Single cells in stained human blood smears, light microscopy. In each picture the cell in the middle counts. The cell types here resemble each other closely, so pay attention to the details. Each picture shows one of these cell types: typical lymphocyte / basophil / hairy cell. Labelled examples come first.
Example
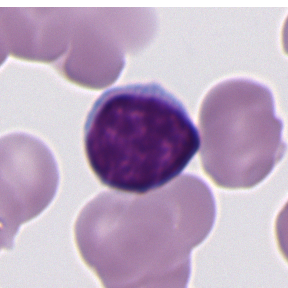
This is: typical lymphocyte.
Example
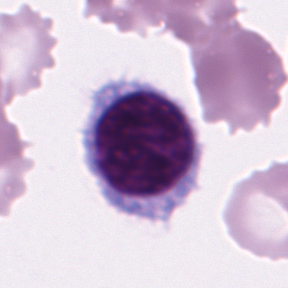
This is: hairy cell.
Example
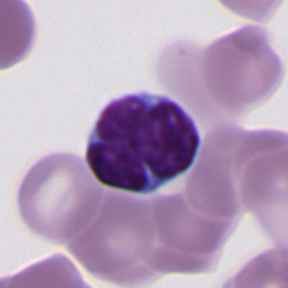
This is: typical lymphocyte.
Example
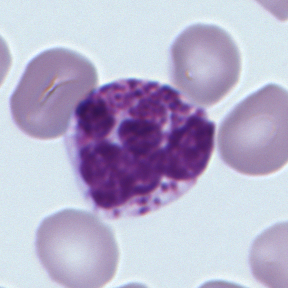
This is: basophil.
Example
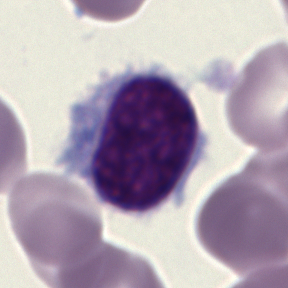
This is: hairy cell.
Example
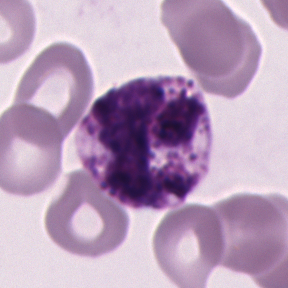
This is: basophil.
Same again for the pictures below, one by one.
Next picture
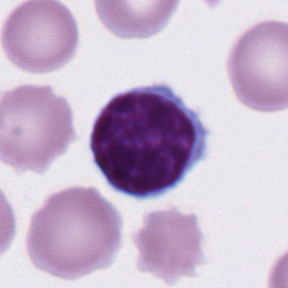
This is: typical lymphocyte.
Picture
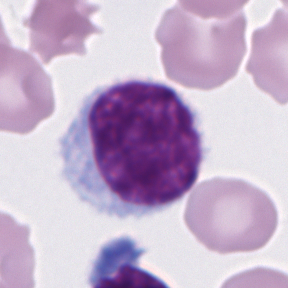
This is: hairy cell.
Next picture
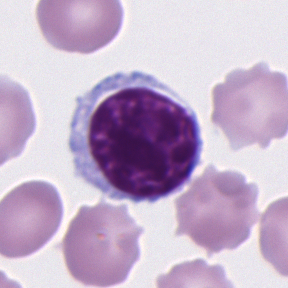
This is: typical lymphocyte.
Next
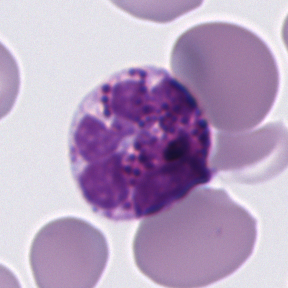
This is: basophil.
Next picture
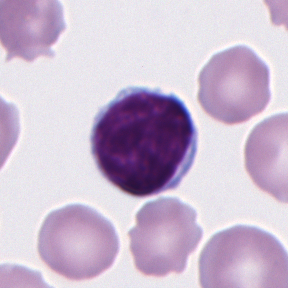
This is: typical lymphocyte.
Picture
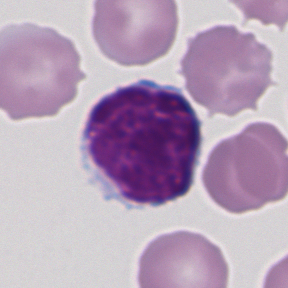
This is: typical lymphocyte.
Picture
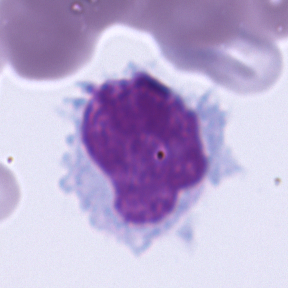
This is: hairy cell.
